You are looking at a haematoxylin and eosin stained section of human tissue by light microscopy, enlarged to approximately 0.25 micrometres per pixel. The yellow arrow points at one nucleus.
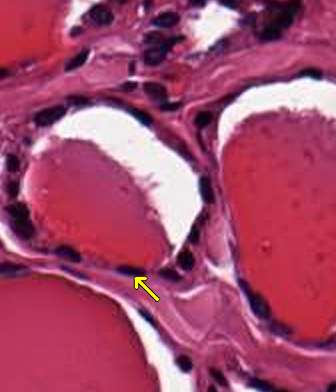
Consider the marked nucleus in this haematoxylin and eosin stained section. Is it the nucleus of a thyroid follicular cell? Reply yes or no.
yes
